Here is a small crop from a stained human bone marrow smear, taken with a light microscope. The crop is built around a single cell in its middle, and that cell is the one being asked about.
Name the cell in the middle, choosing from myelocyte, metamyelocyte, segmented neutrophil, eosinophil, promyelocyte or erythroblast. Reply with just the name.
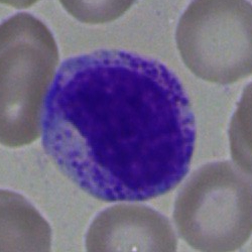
myelocyte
